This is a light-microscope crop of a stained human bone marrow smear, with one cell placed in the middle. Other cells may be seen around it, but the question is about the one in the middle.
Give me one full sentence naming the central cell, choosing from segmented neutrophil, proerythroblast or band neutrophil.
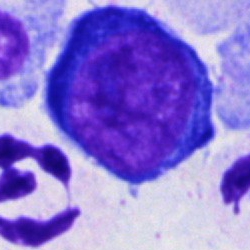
What sits at the centre of this crop is a proerythroblast.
